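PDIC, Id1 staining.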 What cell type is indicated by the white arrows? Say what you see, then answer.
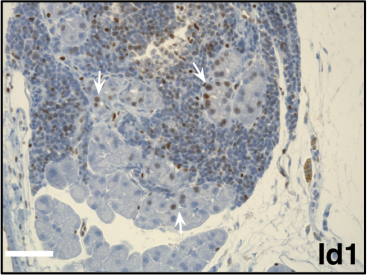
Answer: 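Exocrine cells. The arrowed cells are large, with abundant pale cytoplasm and round nuclei. They sit in small acinar groups among densely packed small tumor cells.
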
